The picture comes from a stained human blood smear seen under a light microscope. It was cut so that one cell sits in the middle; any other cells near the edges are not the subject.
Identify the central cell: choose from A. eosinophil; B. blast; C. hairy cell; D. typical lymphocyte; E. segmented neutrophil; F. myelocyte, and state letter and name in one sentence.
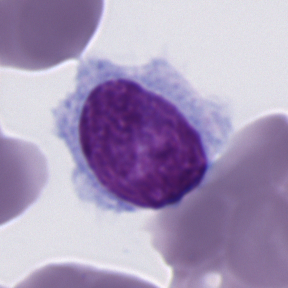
Option C is correct in that the central cell is a hairy cell.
